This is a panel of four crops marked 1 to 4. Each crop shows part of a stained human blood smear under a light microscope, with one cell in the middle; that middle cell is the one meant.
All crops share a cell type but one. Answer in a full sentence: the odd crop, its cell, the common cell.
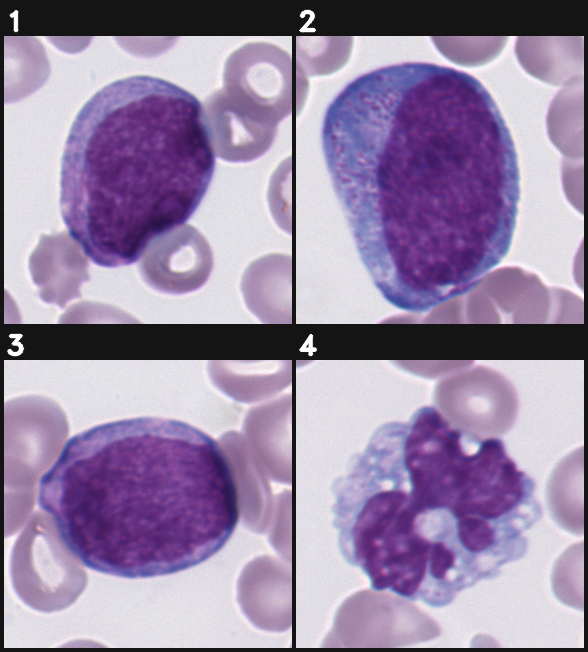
Of these crops, only crop 4 is a monocyte; the others are promyelocytes.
